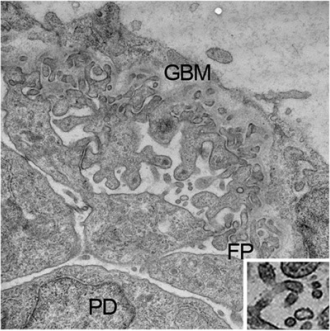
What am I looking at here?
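The upper part of the field is crowded with many convoluted, irregular cell processes cut at various angles, separated by pale spaces. A podocyte nucleus lies at the lower left, and the inset shows the processes in cross-section as rounded, unevenly spaced profiles.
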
